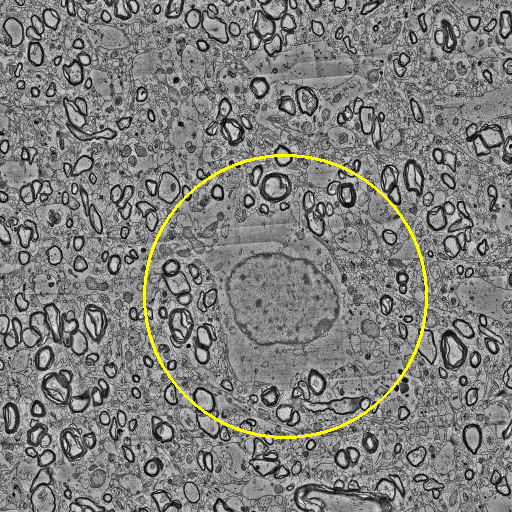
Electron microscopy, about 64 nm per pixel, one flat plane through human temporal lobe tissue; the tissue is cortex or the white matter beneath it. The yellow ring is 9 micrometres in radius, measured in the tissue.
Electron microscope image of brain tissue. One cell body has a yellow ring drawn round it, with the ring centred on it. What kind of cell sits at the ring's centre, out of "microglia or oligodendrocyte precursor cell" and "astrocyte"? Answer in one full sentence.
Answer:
It is an astrocyte whose cell body sits at the centre of the yellow ring.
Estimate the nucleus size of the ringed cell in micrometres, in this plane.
Approximately 7 micrometres long and 6 micrometres wide, in this plane.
